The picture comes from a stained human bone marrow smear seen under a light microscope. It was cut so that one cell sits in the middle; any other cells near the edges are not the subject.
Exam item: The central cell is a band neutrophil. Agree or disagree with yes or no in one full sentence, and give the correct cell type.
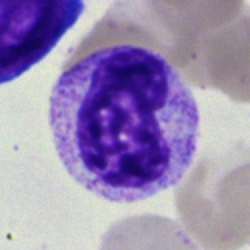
No, the centre cell counts as a metamyelocyte, not as a band neutrophil.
